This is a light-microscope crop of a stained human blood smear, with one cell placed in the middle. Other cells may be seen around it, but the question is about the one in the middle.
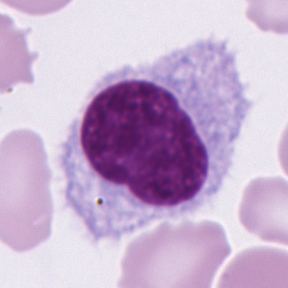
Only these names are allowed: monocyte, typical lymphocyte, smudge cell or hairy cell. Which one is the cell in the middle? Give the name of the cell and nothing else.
hairy cell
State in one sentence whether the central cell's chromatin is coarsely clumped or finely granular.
Heads up, the chromatin is fine with no coarse clumps in it.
